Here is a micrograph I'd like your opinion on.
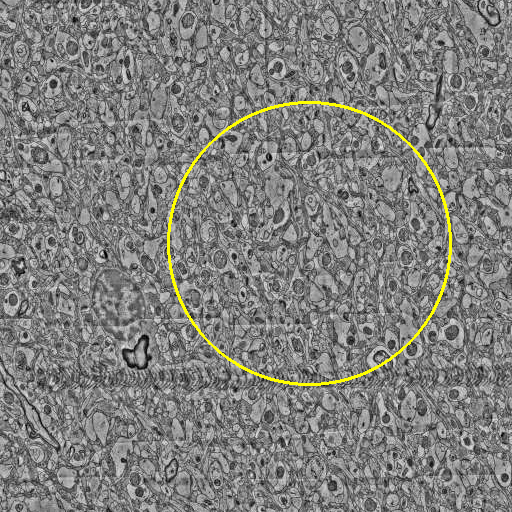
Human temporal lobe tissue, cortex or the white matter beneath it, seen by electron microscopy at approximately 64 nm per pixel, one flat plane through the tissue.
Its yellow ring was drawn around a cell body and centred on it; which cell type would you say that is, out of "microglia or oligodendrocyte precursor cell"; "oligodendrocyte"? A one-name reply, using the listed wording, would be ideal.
oligodendrocyte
